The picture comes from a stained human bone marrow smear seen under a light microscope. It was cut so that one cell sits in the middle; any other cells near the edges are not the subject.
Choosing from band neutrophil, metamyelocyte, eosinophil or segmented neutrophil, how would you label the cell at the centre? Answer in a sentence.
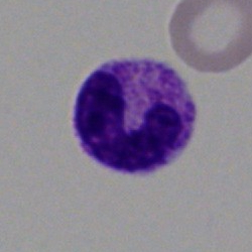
The central element of this crop is a cell, namely a band neutrophil.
